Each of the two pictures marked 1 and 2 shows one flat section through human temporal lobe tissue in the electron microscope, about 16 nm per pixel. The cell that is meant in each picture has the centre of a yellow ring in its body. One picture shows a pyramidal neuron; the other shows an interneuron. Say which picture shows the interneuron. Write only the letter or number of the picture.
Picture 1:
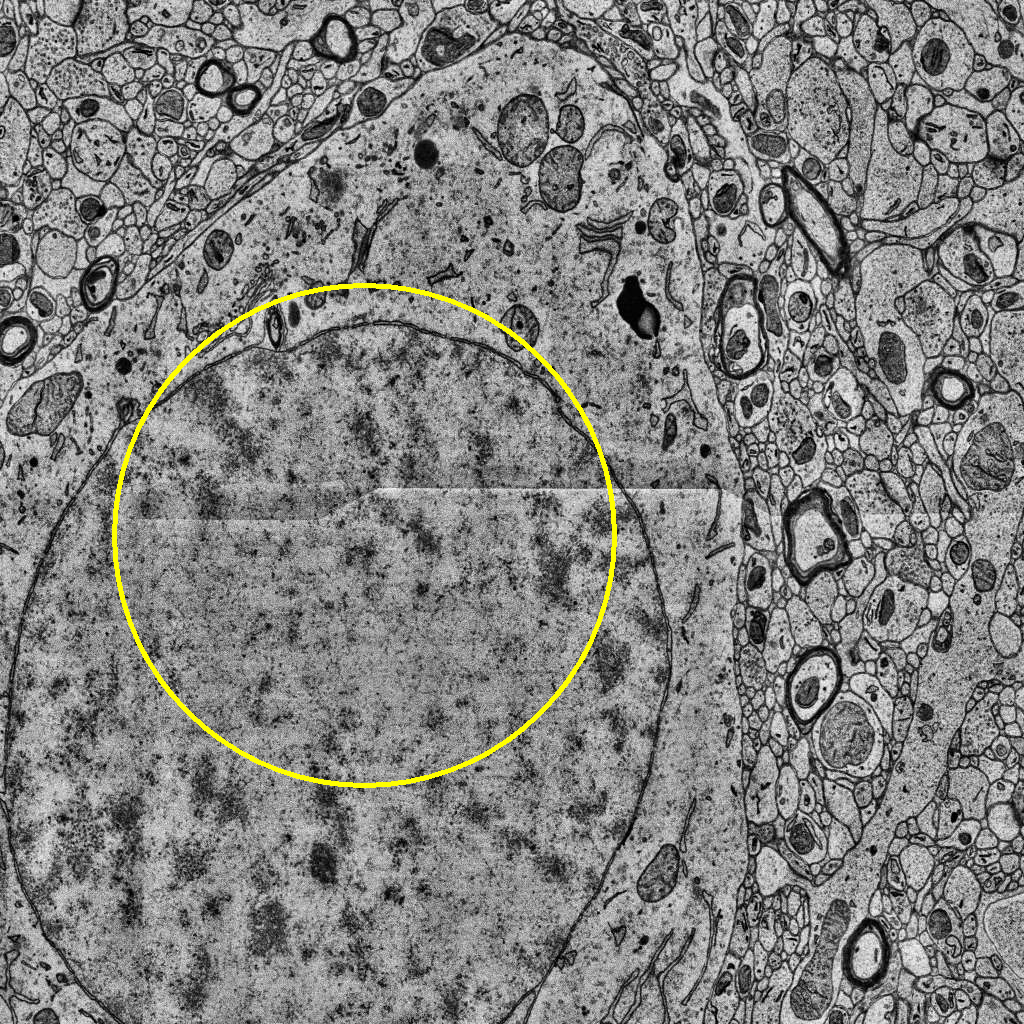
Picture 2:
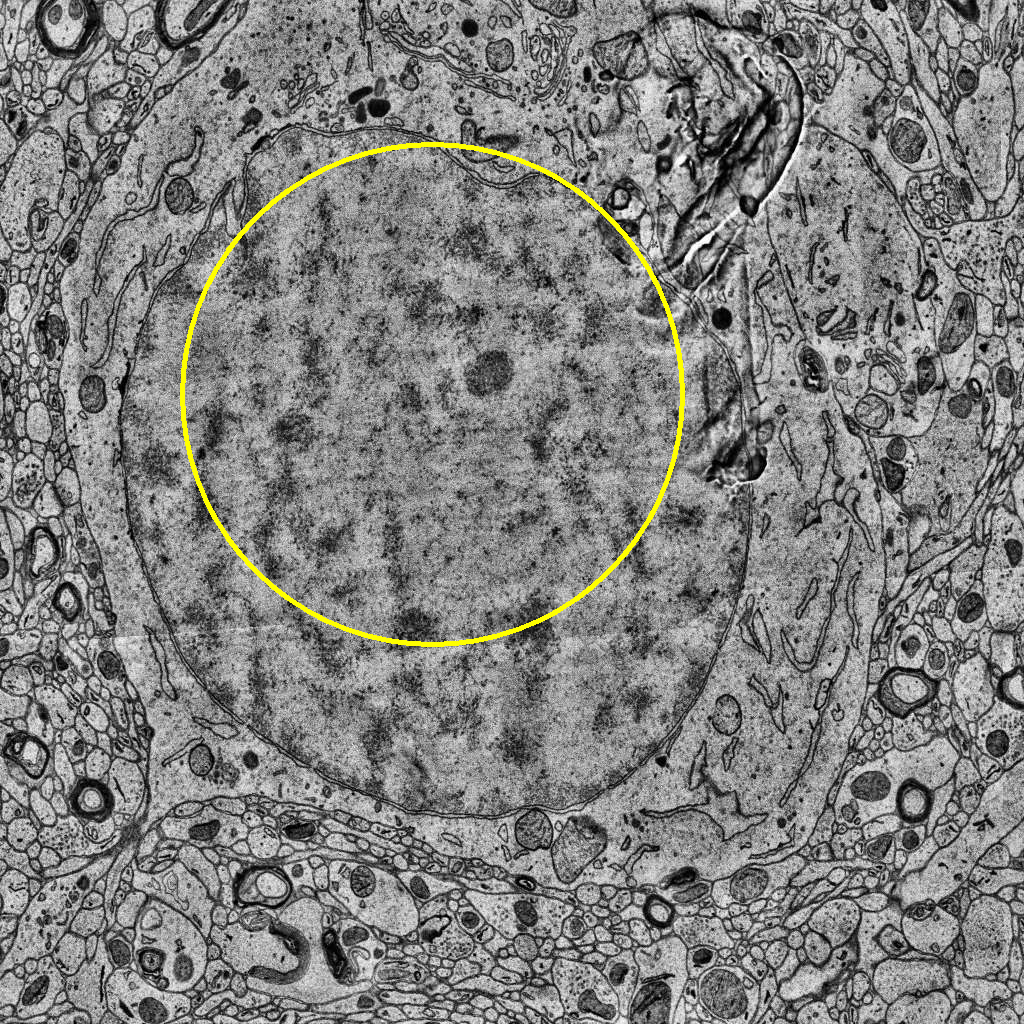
2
